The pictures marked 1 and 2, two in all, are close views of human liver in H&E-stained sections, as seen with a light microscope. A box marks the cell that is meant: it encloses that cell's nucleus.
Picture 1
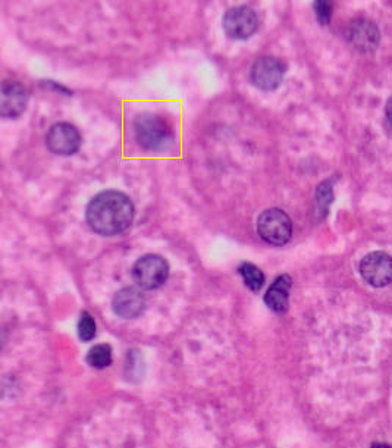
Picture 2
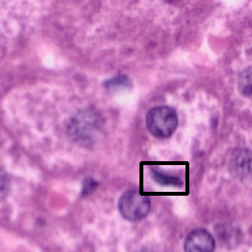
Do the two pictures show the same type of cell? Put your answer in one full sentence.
Yes, the two pictures both show endothelial cells.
